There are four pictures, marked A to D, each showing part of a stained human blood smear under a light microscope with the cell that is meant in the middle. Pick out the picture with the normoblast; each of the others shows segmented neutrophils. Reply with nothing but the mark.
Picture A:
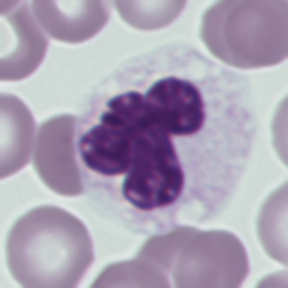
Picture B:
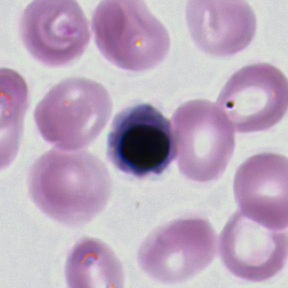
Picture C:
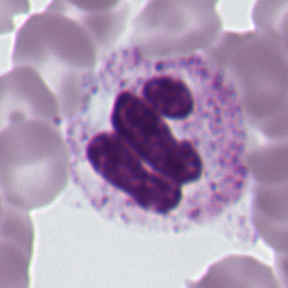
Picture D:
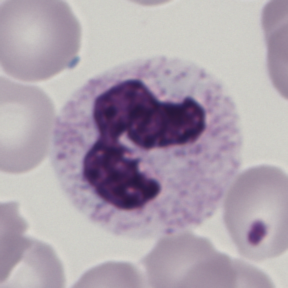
B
